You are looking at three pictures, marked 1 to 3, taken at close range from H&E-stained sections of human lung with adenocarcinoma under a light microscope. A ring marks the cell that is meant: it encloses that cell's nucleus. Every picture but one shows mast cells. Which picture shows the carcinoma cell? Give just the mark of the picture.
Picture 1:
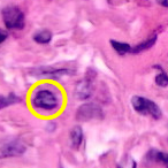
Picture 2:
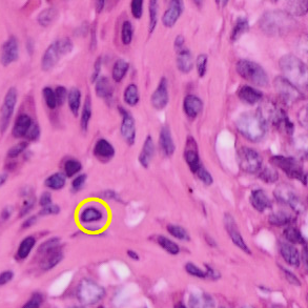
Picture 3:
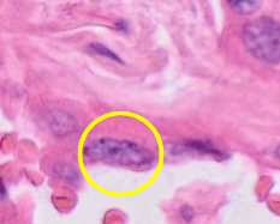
3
